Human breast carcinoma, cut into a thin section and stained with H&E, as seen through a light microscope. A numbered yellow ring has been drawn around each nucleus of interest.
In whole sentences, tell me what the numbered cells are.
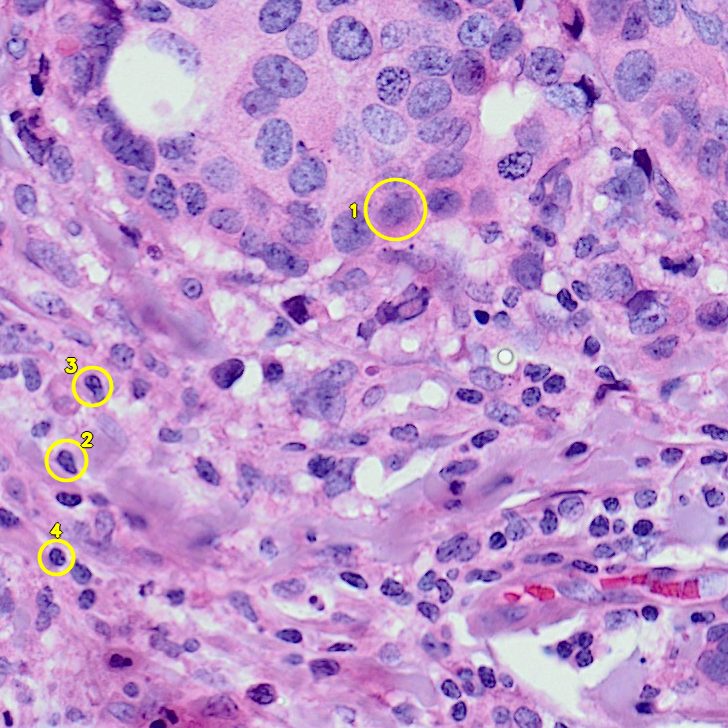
Cell 1 is a carcinoma cell. Cells 2, 3 and 4 are lymphocytes.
